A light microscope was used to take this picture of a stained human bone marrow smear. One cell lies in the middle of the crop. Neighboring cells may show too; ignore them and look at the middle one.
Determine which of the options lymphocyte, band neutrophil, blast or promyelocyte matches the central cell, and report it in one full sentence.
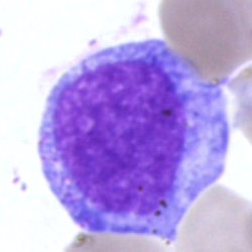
The central cell in this smear crop is a promyelocyte.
